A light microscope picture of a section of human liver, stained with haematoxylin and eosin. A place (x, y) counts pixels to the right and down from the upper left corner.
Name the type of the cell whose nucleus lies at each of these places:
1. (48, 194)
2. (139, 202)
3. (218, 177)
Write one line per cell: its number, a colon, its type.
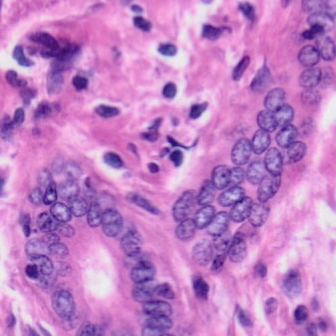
1: cholangiocyte
2: fibroblast or stellate cell
3: cholangiocyte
